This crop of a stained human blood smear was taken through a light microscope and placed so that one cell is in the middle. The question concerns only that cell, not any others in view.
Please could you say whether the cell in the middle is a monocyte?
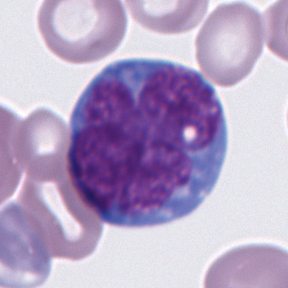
no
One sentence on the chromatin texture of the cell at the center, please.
The chromatin remains finely textured, with no coarse clumps to speak of.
